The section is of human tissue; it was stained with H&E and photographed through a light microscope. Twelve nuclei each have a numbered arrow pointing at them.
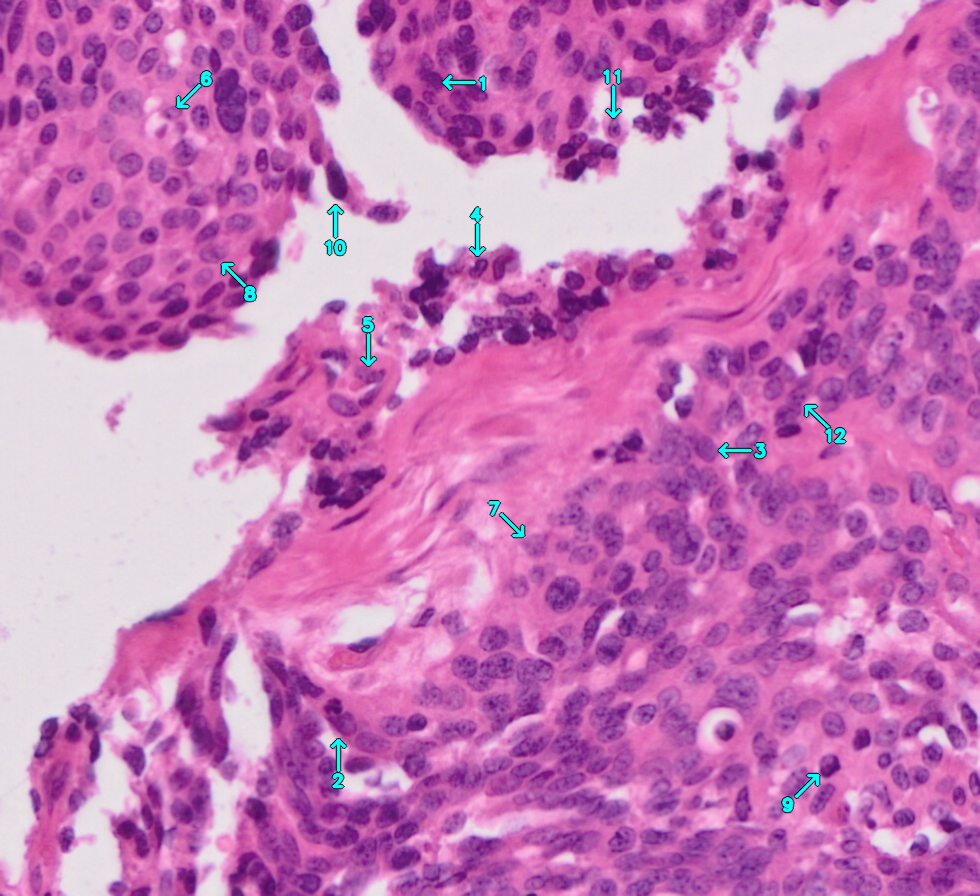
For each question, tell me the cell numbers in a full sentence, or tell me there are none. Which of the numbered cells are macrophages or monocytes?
The cells shown with numbers 4, 6, 9 and 11 are macrophages or monocytes.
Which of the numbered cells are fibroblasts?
The group of numbered cells contains no fibroblasts.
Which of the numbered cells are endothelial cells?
Nothing but cell 5 is an endothelial cell among the numbered ones.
